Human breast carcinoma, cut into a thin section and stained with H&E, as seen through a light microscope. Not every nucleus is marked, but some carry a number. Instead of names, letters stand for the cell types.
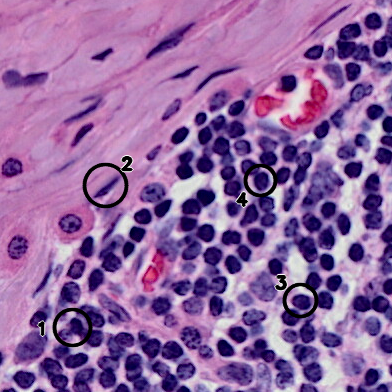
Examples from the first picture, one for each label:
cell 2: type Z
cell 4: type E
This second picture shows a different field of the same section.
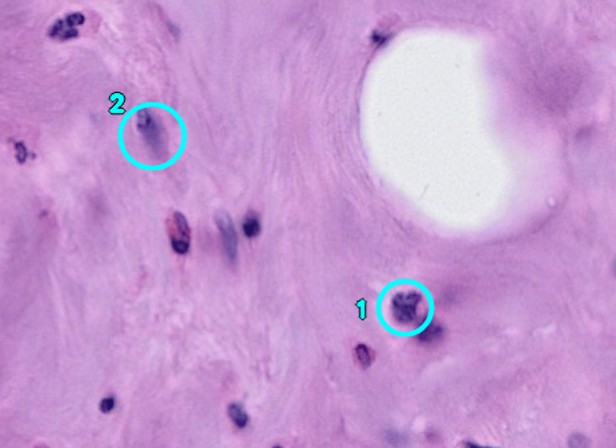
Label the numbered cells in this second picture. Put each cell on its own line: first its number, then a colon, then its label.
1: type E
2: type Z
